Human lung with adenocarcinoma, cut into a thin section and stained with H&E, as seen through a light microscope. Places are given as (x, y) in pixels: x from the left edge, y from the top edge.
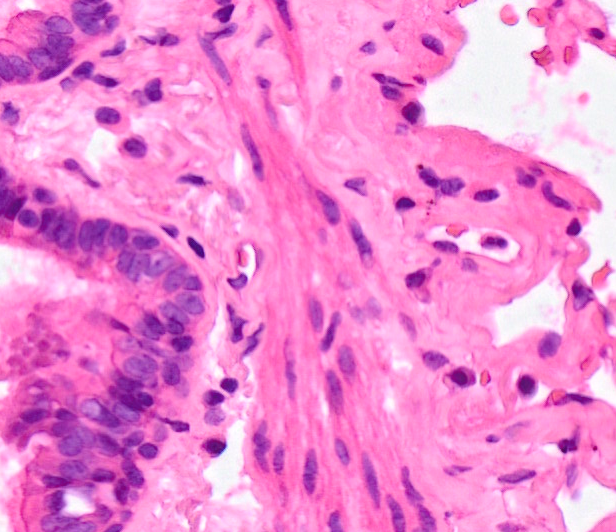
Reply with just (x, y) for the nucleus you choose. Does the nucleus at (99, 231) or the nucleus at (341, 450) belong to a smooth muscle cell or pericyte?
(341, 450)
